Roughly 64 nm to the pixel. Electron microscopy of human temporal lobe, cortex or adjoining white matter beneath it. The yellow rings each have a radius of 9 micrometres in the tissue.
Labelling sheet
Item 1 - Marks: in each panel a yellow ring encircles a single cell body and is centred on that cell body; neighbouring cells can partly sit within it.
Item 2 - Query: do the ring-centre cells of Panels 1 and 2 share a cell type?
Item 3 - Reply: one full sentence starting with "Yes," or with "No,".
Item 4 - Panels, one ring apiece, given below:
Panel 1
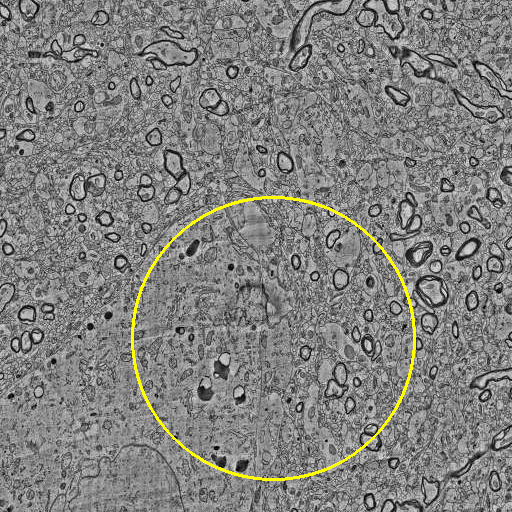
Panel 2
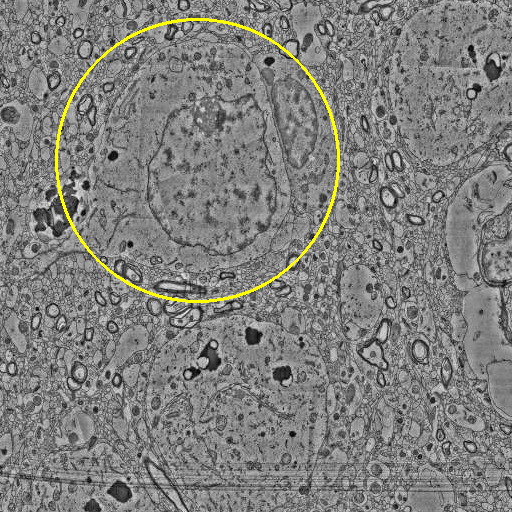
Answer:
No, Panel 1 and Panel 2 show two cell types at the centres of their rings.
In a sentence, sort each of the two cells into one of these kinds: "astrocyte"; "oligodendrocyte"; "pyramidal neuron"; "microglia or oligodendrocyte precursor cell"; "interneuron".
The first of the two cells is an oligodendrocyte, and the second is an interneuron.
